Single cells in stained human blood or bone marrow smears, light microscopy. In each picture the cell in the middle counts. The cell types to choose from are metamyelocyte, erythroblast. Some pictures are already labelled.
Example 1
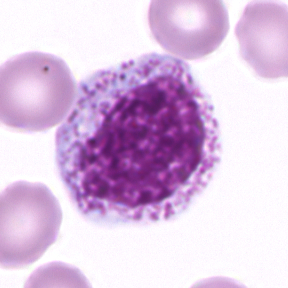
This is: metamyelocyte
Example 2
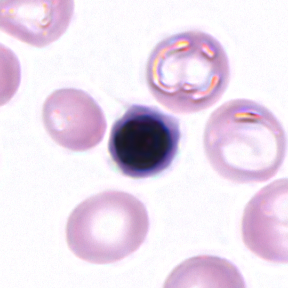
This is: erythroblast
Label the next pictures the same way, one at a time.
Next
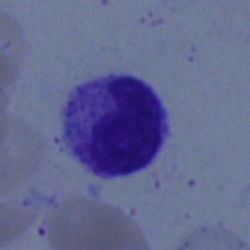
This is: metamyelocyte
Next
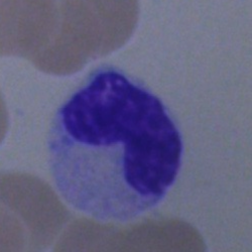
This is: metamyelocyte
